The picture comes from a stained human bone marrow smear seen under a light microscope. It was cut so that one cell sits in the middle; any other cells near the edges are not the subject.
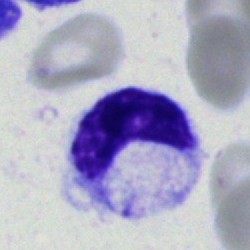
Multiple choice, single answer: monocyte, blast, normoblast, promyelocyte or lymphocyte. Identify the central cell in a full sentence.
Centrally within this crop lies a monocyte.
